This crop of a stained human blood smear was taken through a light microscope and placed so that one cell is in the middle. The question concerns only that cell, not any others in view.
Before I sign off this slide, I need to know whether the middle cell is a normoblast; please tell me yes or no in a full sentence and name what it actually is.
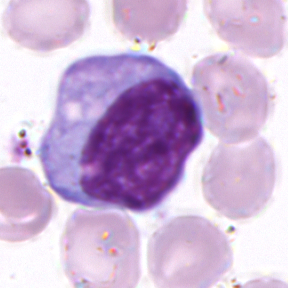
No, the cell in the middle is a plasma cell, not a normoblast.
